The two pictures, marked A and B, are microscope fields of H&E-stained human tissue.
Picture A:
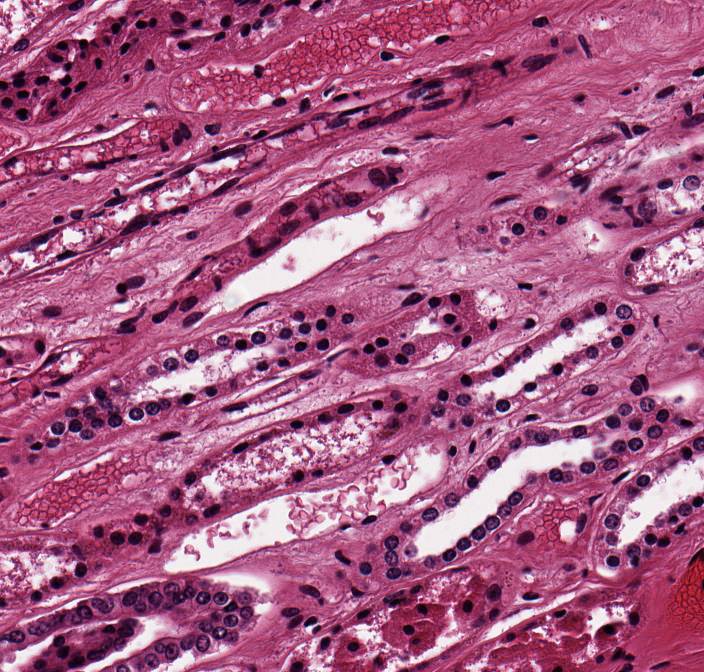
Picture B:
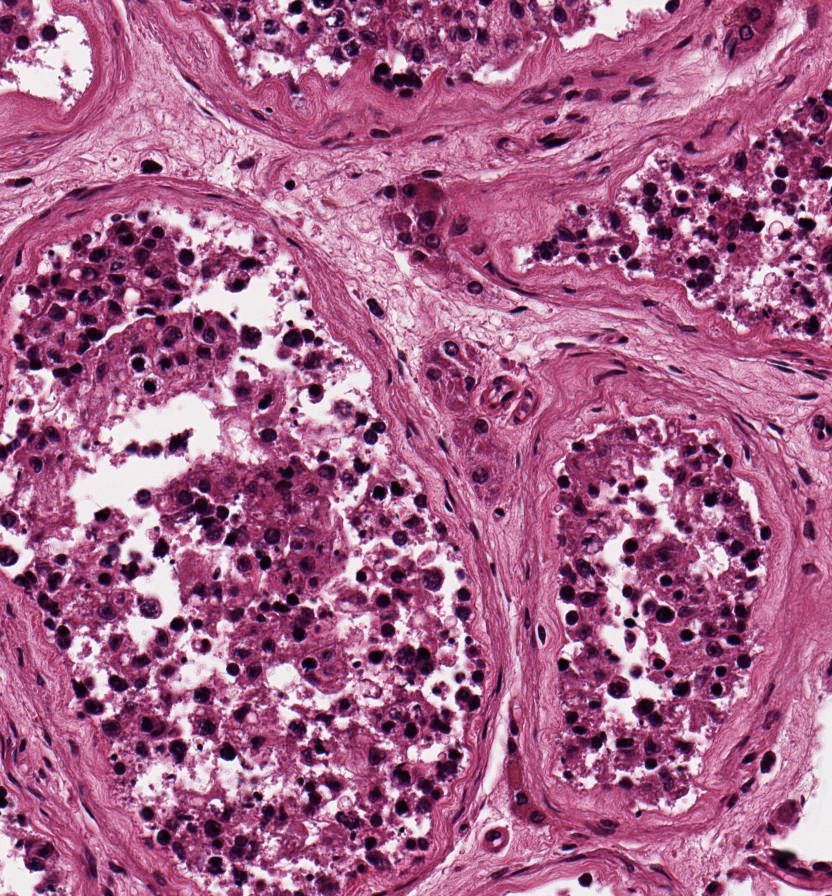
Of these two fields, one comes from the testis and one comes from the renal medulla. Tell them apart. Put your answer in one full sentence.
It is picture A that comes from the renal medulla, and picture B that comes from the testis.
